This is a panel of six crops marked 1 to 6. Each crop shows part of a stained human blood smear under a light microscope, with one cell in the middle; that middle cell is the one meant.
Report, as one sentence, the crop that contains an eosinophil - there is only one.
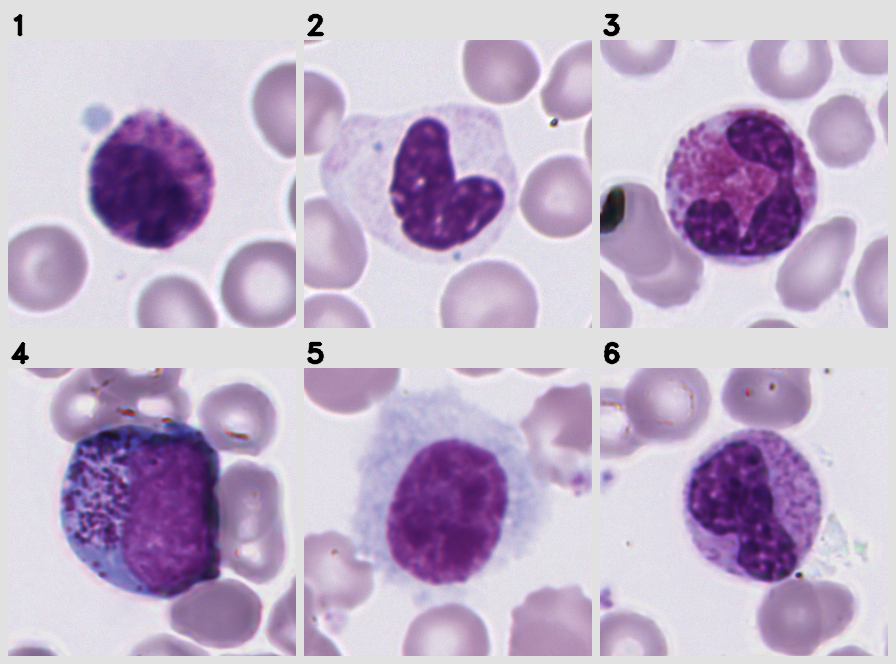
Crop 3 is identified as the crop showing an eosinophil.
